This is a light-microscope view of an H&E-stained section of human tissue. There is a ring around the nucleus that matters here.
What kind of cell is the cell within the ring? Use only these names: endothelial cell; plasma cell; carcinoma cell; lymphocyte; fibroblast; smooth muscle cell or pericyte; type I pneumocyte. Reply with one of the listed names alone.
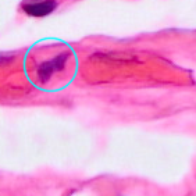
endothelial cell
